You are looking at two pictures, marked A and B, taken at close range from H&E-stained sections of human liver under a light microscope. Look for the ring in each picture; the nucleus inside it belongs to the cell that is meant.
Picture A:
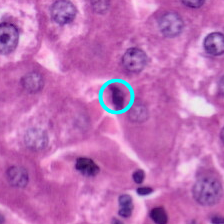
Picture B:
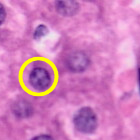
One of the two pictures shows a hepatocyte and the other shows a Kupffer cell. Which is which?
A: Kupffer cell
B: hepatocyte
